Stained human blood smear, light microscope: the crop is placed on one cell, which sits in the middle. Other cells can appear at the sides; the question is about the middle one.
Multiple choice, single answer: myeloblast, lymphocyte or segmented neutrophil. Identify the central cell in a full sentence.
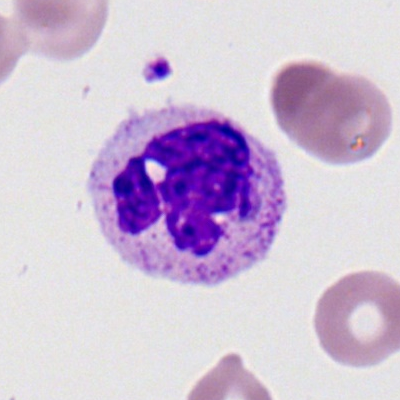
The identification for the central cell is a segmented neutrophil.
